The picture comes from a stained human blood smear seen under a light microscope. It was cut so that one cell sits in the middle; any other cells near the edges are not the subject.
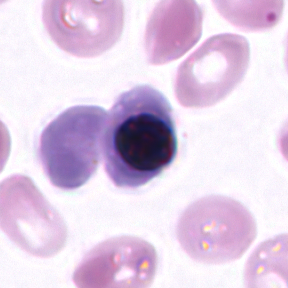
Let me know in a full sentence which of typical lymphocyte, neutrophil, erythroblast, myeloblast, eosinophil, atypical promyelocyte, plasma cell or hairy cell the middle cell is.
Where the crop is centred, there is an erythroblast.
